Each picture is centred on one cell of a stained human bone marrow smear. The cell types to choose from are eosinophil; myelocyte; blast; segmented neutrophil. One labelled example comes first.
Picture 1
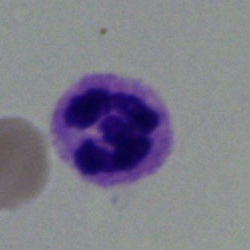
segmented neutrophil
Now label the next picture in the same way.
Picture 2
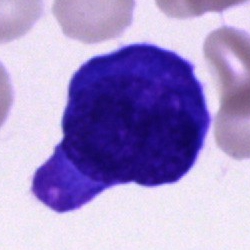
blast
